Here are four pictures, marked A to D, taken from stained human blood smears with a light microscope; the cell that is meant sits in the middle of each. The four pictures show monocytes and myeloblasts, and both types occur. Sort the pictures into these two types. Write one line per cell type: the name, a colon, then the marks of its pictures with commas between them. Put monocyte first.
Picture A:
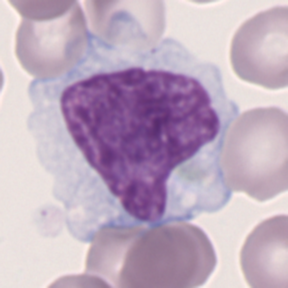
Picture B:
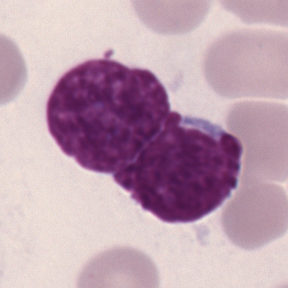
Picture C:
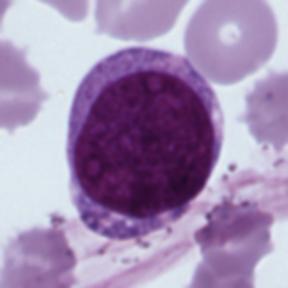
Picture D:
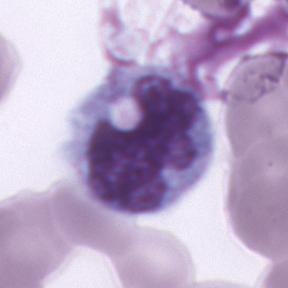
monocyte: D
myeloblast: A, B, C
